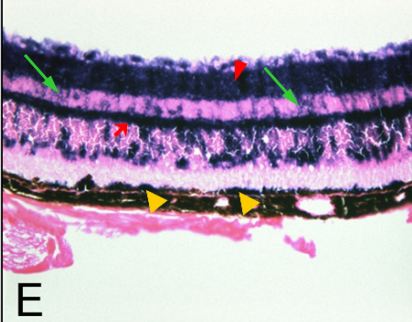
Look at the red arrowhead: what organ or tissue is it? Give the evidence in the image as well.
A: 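The arrowhead points to a broad dark blue band in the inner retina.
Answer: inner plexiform layer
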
